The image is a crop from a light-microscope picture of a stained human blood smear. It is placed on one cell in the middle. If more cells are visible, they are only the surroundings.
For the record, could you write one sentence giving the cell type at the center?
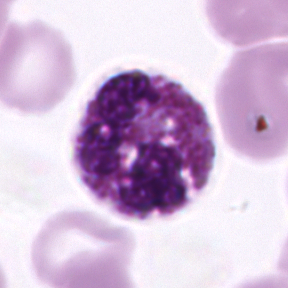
The cell at the central position in this crop is an eosinophil.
